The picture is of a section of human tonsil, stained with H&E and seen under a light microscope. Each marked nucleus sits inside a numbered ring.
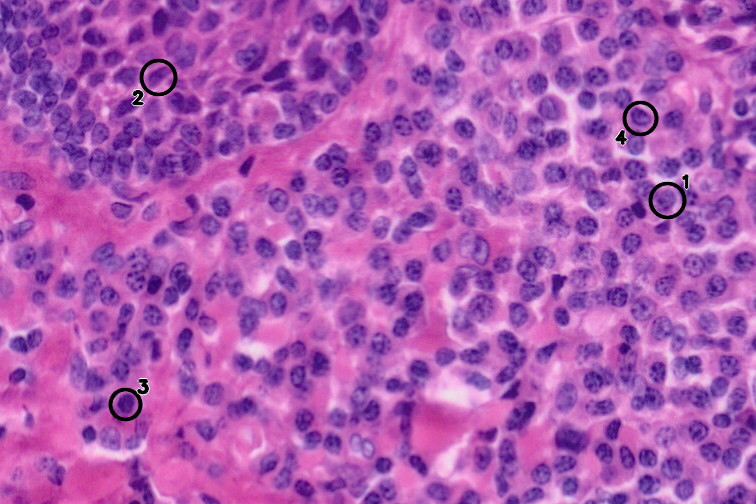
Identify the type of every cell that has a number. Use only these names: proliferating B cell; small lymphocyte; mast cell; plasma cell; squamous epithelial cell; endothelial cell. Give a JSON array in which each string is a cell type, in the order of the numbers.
["plasma cell", "squamous epithelial cell", "plasma cell", "plasma cell"]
